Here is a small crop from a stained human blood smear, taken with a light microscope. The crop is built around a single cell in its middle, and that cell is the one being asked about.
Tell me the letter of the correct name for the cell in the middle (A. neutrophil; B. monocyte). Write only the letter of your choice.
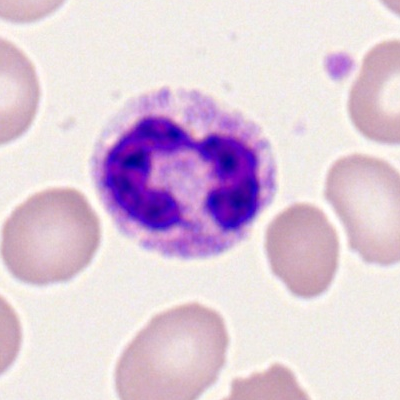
A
